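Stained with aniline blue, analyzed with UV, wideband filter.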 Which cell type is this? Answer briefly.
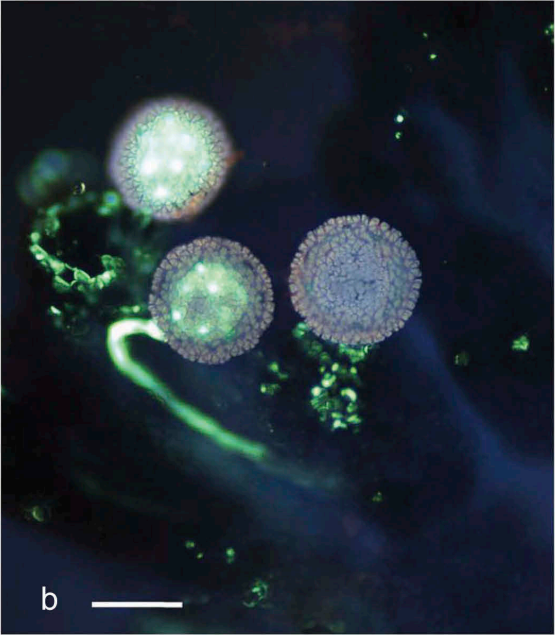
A: Germinating pollen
